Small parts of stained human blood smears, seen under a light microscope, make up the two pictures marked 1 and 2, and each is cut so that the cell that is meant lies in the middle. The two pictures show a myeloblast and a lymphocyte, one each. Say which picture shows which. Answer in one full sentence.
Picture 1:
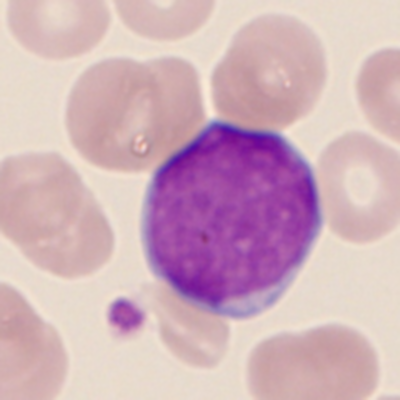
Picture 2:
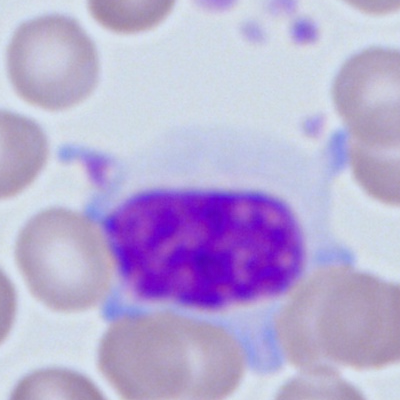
Picture 2 shows a lymphocyte, while picture 1 shows a myeloblast.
